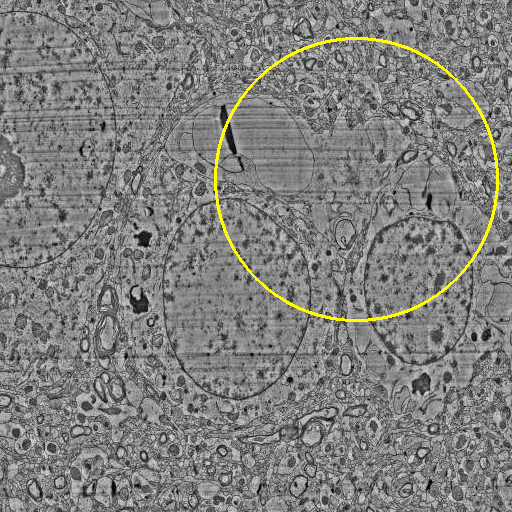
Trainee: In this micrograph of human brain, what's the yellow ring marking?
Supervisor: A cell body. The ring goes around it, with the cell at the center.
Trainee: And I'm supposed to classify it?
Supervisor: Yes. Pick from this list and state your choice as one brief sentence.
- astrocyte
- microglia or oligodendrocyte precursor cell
The cell at the ring's center is an astrocyte.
